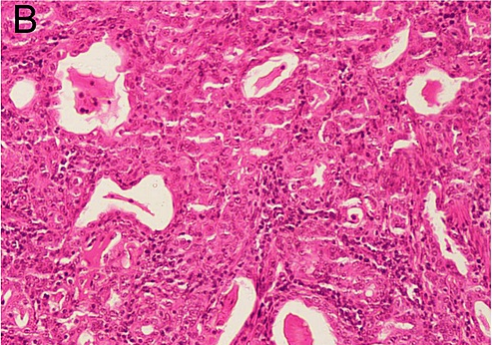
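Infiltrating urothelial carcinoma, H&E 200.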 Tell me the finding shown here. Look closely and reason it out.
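Many small round to elongated cystic spaces lie among sheets of tumour cells. Some cystic spaces contain pink material.
Answer: Microcystic variant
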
